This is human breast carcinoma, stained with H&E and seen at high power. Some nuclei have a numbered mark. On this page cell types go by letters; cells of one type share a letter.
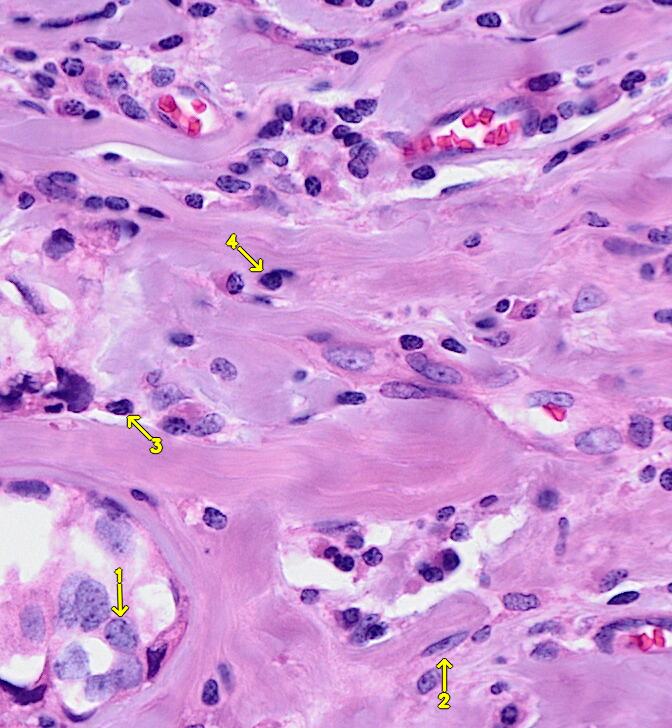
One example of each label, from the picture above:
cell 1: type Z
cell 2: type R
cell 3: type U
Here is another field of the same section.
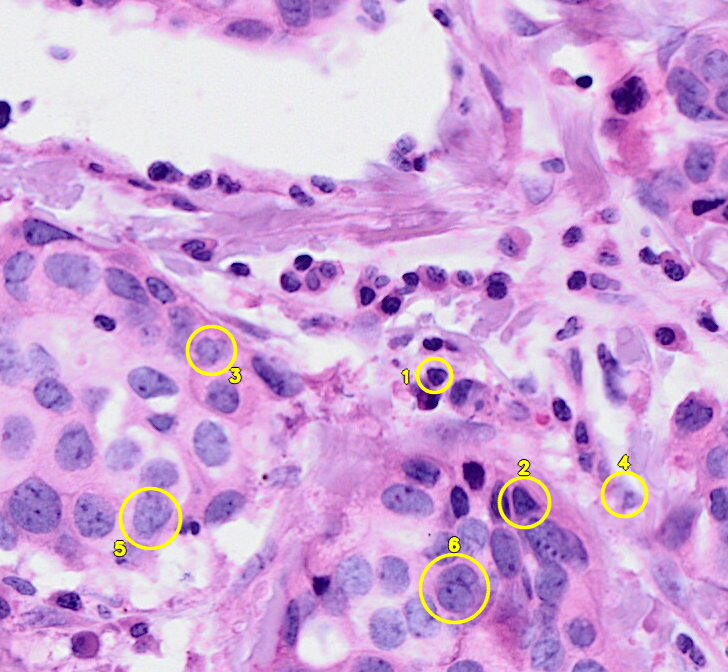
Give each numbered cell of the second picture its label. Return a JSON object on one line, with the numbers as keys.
{"1": "type U", "2": "type Z", "3": "type Z", "4": "type R", "5": "type Z", "6": "type Z"}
